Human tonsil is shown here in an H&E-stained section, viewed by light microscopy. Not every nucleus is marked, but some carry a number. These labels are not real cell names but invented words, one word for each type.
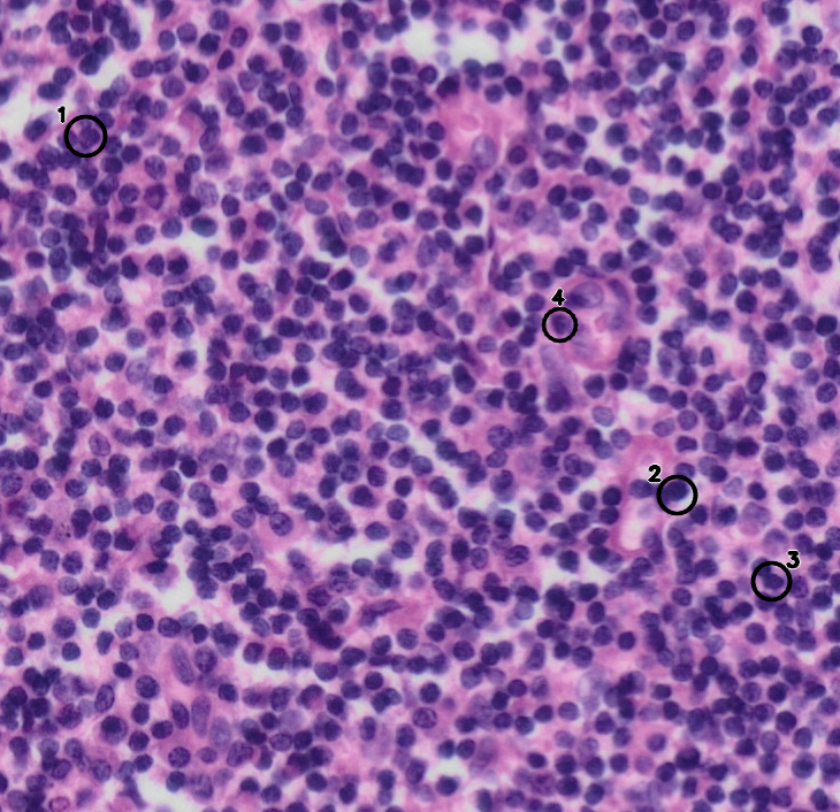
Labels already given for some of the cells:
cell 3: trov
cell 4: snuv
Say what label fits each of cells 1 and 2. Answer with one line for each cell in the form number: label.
1: trov
2: trov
